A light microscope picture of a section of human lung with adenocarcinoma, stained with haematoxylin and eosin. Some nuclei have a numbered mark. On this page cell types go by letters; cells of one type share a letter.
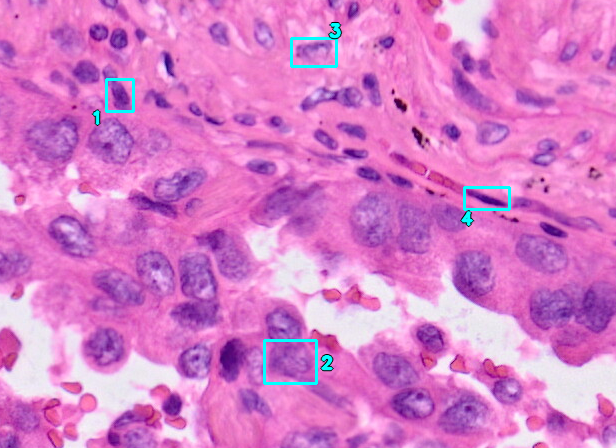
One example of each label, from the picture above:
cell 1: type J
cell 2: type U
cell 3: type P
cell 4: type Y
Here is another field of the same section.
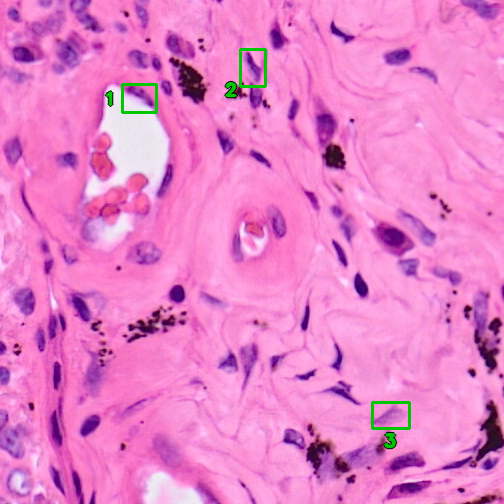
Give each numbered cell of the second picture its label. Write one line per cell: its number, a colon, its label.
1: type Y
2: type P
3: type P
